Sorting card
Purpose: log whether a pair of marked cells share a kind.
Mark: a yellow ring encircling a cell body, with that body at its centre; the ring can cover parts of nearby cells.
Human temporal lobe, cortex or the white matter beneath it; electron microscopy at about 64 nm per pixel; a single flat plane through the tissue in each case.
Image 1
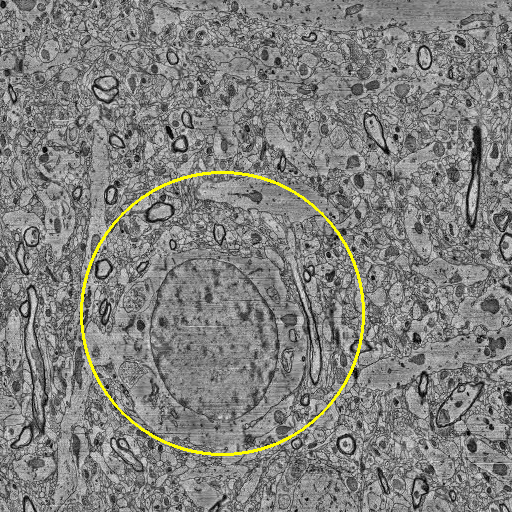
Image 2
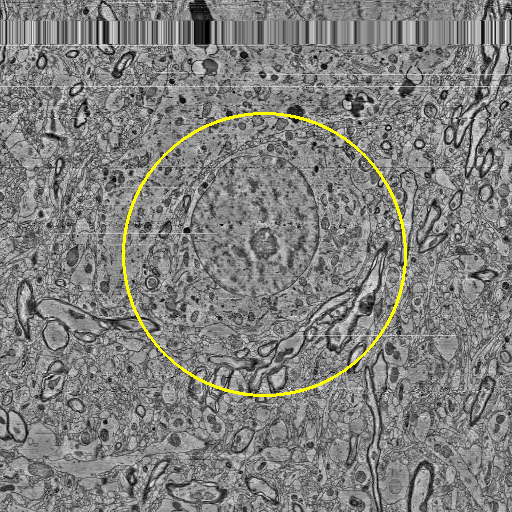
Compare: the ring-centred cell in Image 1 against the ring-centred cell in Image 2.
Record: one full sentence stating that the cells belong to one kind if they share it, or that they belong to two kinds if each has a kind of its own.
Across Images 1 and 2, the two ring-centred cells belong to two kinds.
